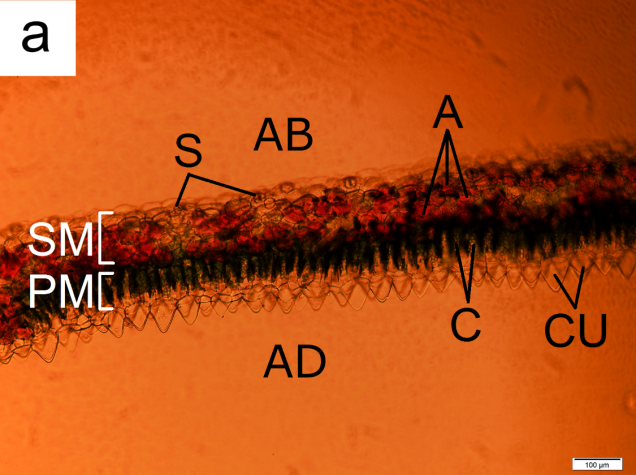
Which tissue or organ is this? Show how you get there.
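Leaf. A thin flat band of tissue crosses the field between two empty areas. The band has layers of cells, one of elongated columnar cells side by side. Many cells hold green and red pigment.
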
